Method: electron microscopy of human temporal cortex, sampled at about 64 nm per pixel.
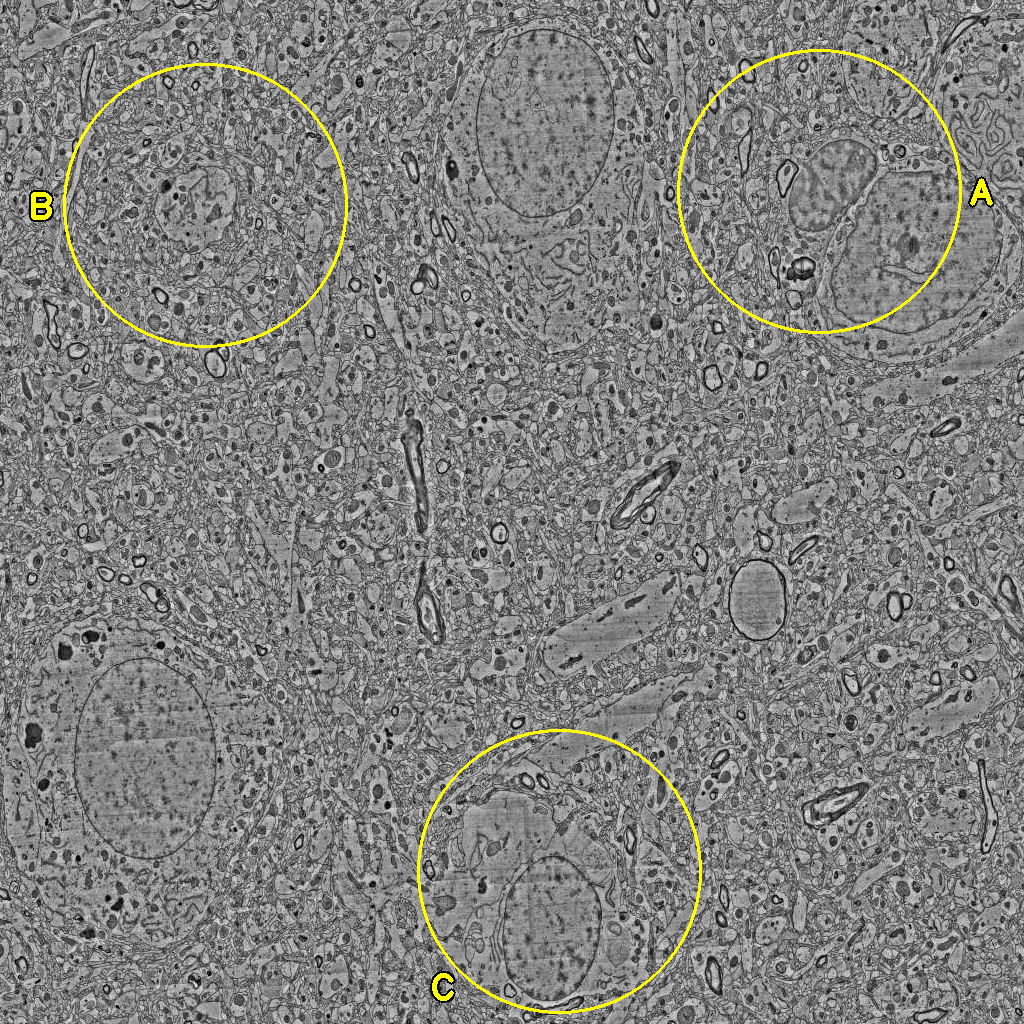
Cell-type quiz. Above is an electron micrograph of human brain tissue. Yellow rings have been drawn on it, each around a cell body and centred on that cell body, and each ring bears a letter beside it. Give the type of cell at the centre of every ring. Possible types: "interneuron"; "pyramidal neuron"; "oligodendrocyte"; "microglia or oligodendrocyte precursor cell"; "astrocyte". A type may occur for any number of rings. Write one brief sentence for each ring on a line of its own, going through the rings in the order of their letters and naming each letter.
Ring A is centred on the cell body of an oligodendrocyte.
Ring B is centred on the cell body of an interneuron.
Ring C is centred on the cell body of an astrocyte.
